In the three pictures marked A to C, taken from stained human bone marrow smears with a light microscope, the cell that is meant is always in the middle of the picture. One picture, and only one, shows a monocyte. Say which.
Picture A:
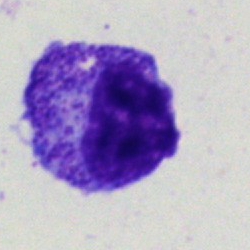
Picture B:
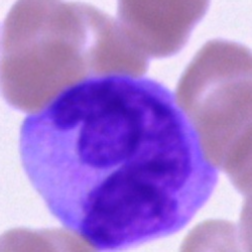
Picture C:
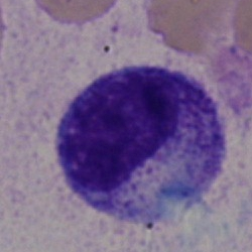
B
